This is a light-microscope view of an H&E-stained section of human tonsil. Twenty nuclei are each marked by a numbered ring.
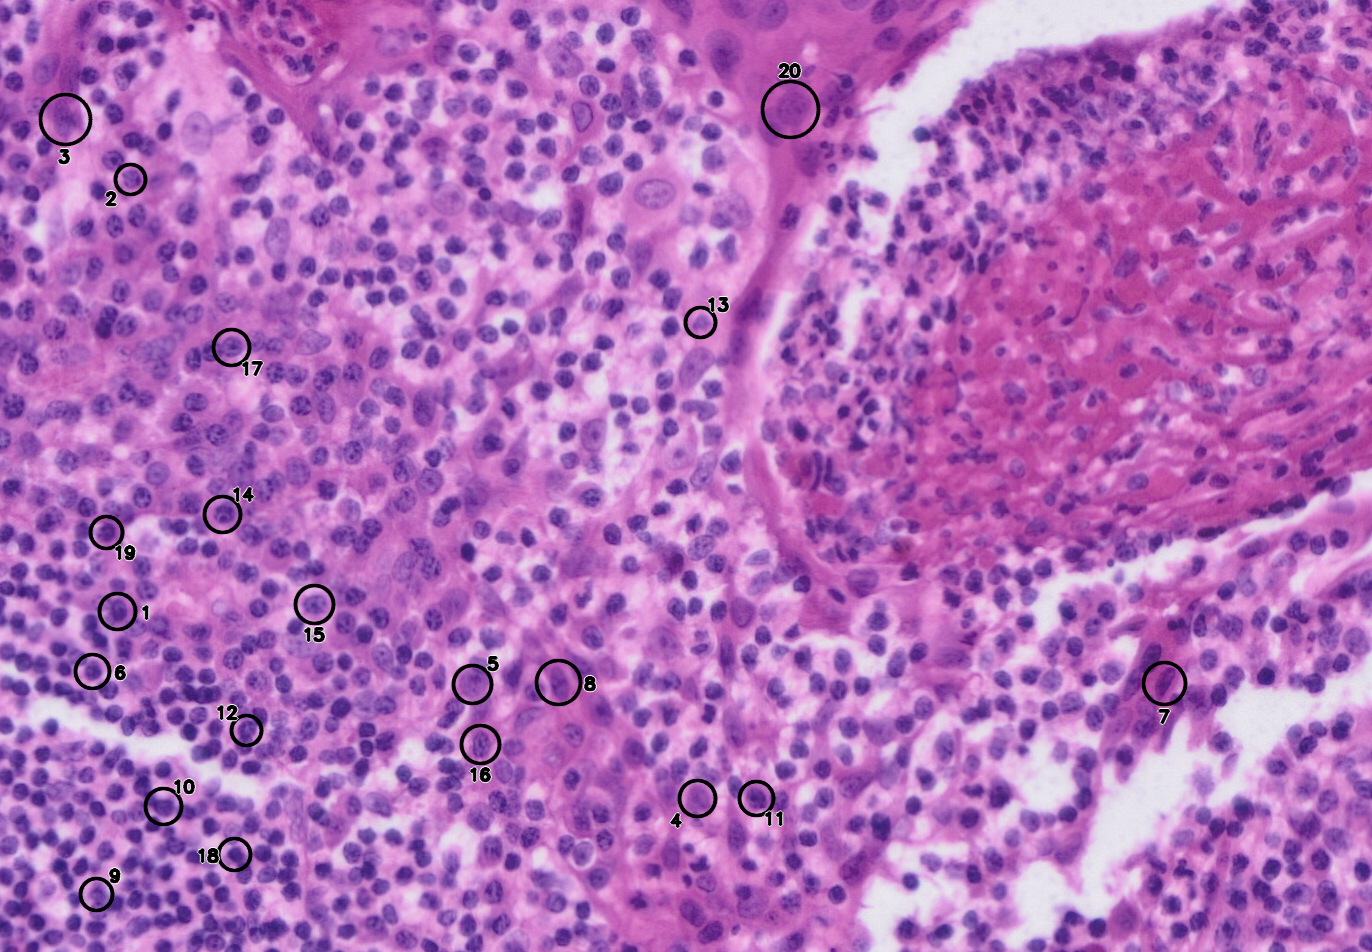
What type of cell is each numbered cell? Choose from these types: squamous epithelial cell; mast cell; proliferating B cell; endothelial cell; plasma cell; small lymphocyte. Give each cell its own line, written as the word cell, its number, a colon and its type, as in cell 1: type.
cell 1: plasma cell
cell 2: plasma cell
cell 3: squamous epithelial cell
cell 4: squamous epithelial cell
cell 5: squamous epithelial cell
cell 6: small lymphocyte
cell 7: squamous epithelial cell
cell 8: squamous epithelial cell
cell 9: small lymphocyte
cell 10: small lymphocyte
cell 11: plasma cell
cell 12: small lymphocyte
cell 13: squamous epithelial cell
cell 14: plasma cell
cell 15: plasma cell
cell 16: plasma cell
cell 17: plasma cell
cell 18: small lymphocyte
cell 19: plasma cell
cell 20: squamous epithelial cell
